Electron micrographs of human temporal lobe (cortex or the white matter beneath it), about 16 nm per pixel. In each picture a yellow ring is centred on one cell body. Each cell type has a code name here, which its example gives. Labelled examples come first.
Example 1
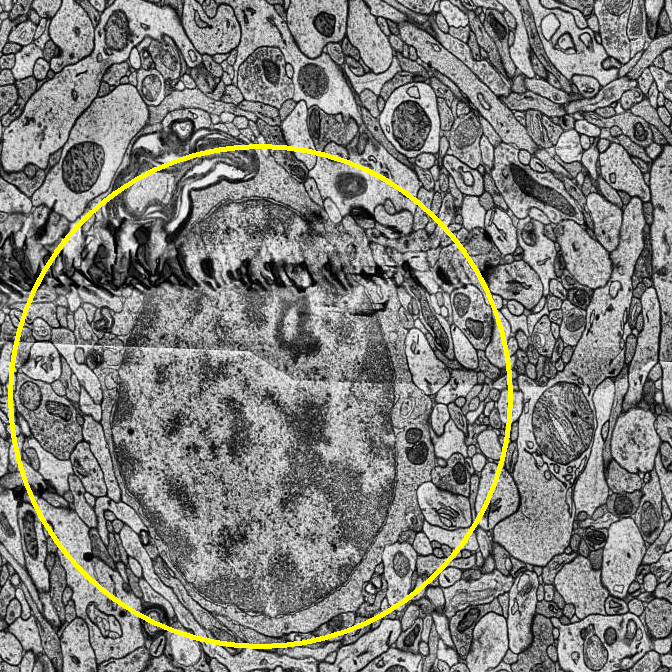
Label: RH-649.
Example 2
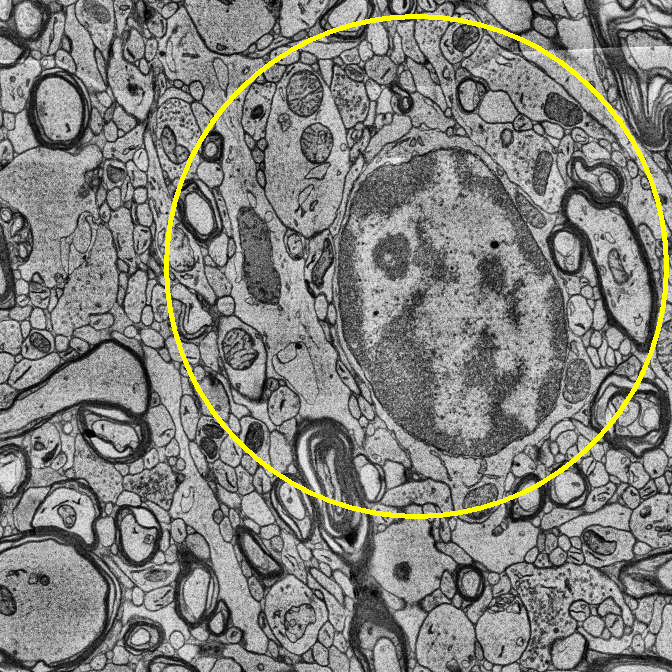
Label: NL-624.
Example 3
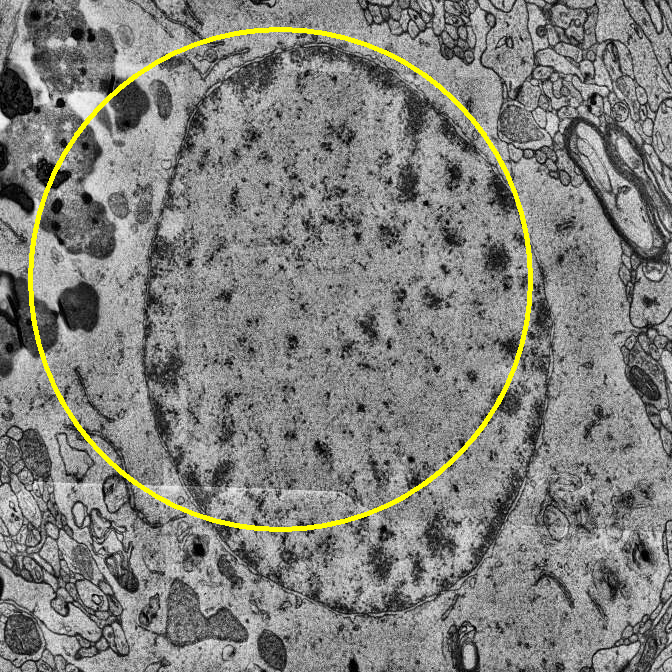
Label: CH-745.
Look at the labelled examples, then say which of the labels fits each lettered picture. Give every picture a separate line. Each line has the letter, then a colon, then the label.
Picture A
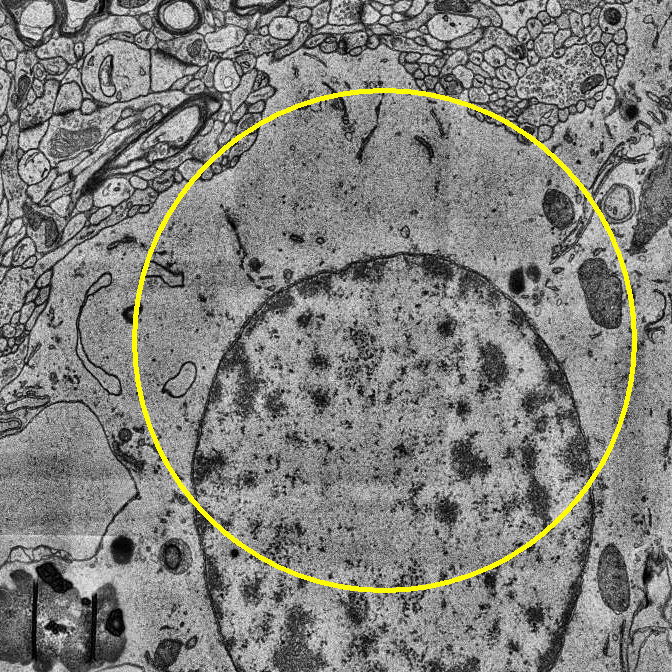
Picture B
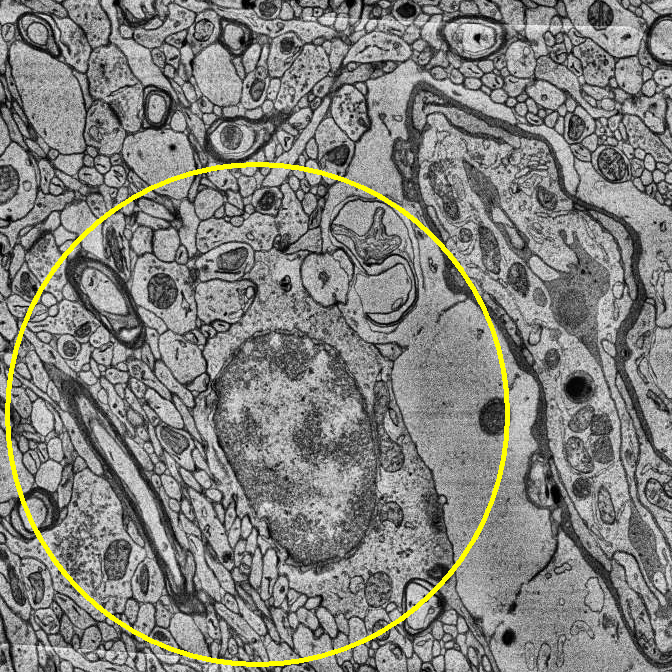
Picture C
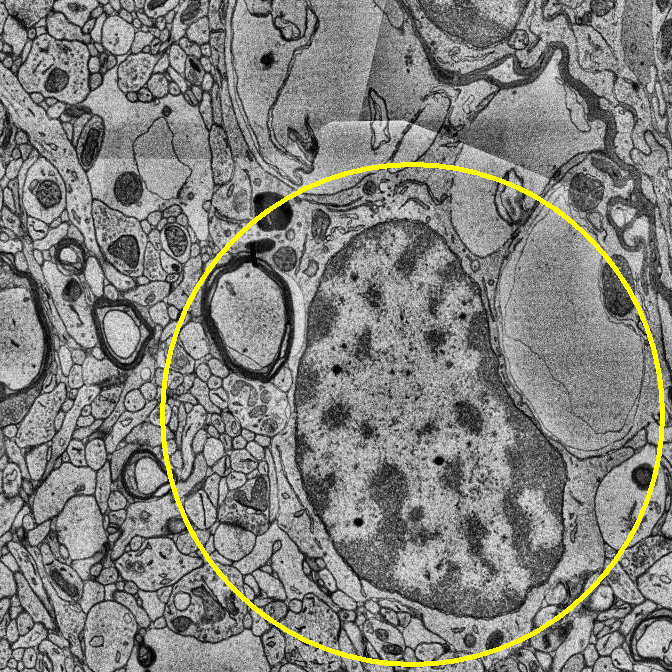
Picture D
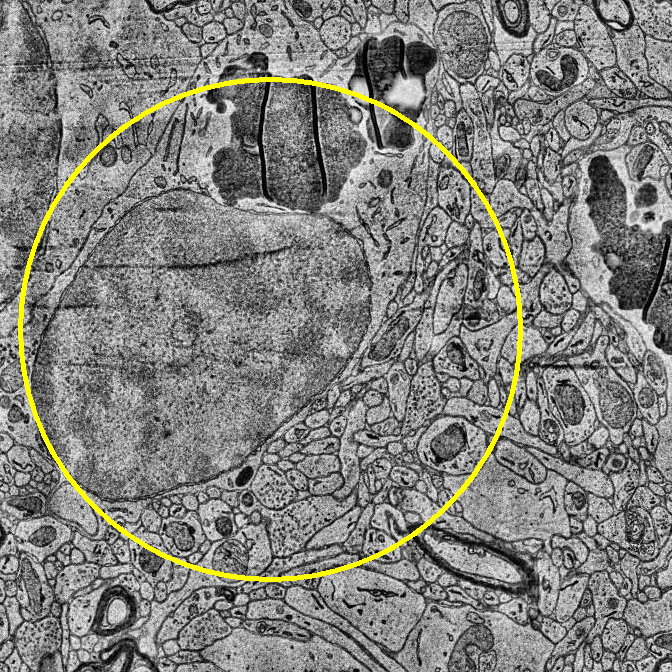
A: CH-745.
B: RH-649.
C: NL-624.
D: NL-624.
